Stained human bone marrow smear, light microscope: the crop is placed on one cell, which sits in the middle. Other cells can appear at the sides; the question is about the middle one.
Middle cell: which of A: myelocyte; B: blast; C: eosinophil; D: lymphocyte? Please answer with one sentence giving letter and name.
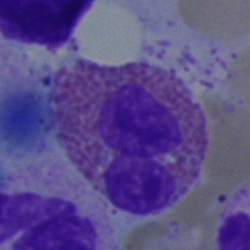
The cell in the middle is an eosinophil, and that makes option C correct.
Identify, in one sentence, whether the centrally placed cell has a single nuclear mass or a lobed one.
Rather than a single mass, the nucleus forms two or more lobes.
